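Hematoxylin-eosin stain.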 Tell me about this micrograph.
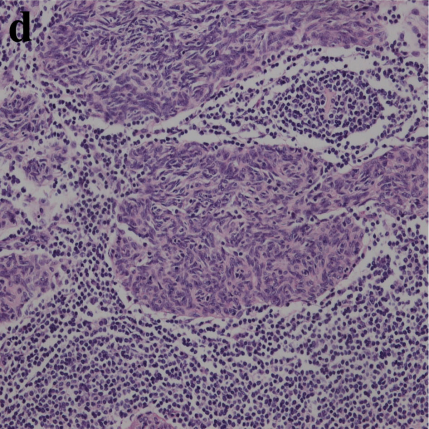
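This section shows a tumor made of spindle cells grouped into several small rounded nodules, separated by dense sheets of lymphocytes. The spindle cells have pale pink cytoplasm and elongated to oval, lightly stained nuclei, and they lie in loosely whorled arrangements within each nodule. Between the nodules, small round lymphocytes with dark, round nuclei and very little cytoplasm are packed closely together. Thin clefts separate the edges of the nodules from the surrounding lymphocytes.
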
